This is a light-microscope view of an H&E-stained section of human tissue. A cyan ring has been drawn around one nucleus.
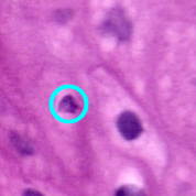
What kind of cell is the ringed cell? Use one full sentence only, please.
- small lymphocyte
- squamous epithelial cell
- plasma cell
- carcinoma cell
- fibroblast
In cell-type terms, the ringed cell is a squamous epithelial cell.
